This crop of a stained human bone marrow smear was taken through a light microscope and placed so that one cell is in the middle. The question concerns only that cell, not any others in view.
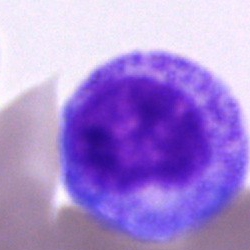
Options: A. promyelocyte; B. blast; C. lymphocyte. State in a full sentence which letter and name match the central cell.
Option A holds up: the cell in the middle is a promyelocyte.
